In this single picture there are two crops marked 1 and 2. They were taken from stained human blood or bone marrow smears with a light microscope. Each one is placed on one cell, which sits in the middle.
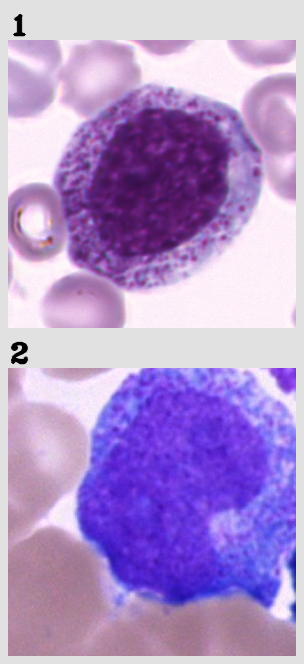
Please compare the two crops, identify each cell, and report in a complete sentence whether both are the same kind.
Yes, as an answer for this item, both crops show promyelocytes.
